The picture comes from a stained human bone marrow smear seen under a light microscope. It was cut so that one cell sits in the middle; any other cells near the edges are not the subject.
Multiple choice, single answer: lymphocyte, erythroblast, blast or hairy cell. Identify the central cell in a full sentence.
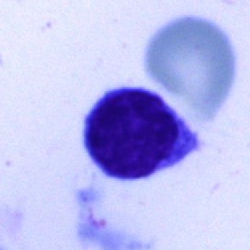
The cell at the middle of the crop is recognized as a lymphocyte.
